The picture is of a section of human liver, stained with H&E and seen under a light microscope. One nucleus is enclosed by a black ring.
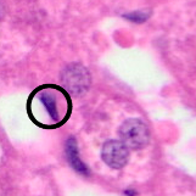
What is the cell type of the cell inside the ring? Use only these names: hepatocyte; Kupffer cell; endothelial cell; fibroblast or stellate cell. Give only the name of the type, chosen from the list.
fibroblast or stellate cell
